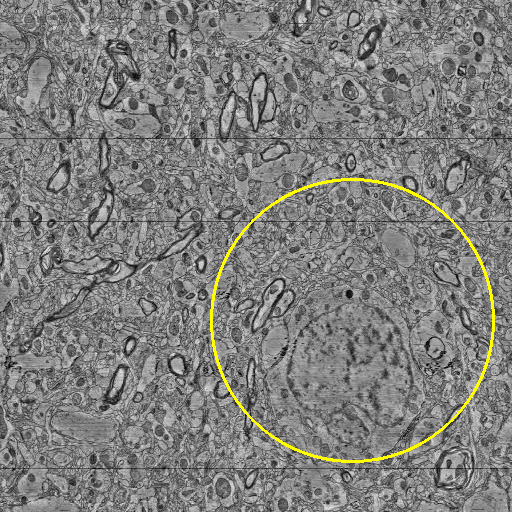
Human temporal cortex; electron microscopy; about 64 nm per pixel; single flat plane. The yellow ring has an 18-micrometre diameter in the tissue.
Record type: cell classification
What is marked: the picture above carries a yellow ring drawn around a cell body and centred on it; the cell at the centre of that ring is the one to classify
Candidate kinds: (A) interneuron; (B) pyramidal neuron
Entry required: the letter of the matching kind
A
